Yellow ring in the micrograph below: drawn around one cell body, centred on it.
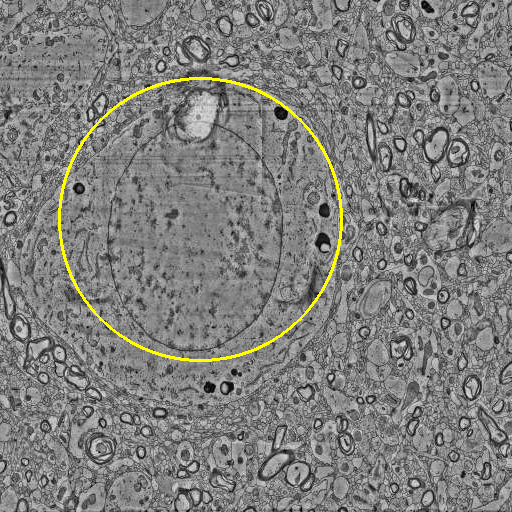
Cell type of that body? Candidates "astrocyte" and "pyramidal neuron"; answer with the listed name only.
pyramidal neuron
